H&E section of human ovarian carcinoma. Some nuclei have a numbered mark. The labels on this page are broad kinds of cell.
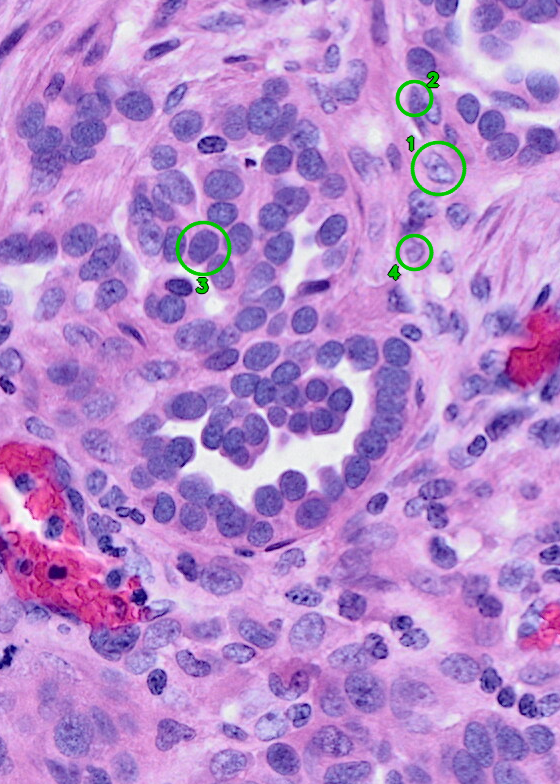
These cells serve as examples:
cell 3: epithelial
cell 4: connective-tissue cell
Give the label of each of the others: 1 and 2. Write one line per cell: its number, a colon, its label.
1: connective-tissue cell
2: connective-tissue cell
